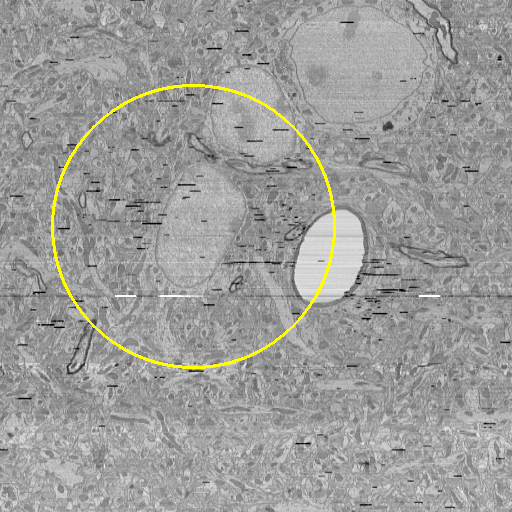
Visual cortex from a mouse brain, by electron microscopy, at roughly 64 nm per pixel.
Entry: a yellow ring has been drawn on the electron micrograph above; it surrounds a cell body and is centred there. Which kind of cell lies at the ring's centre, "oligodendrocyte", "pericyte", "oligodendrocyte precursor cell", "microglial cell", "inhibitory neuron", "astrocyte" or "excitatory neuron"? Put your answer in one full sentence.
The cell sitting at the ring's centre is an astrocyte in the micrograph above.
